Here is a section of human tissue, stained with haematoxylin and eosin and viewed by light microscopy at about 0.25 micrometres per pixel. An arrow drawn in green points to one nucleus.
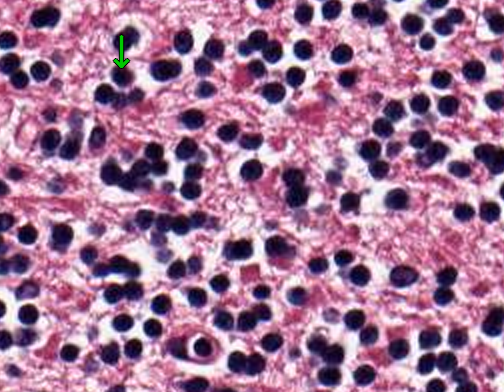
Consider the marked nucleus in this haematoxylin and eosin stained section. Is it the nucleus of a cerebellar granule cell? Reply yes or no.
yes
